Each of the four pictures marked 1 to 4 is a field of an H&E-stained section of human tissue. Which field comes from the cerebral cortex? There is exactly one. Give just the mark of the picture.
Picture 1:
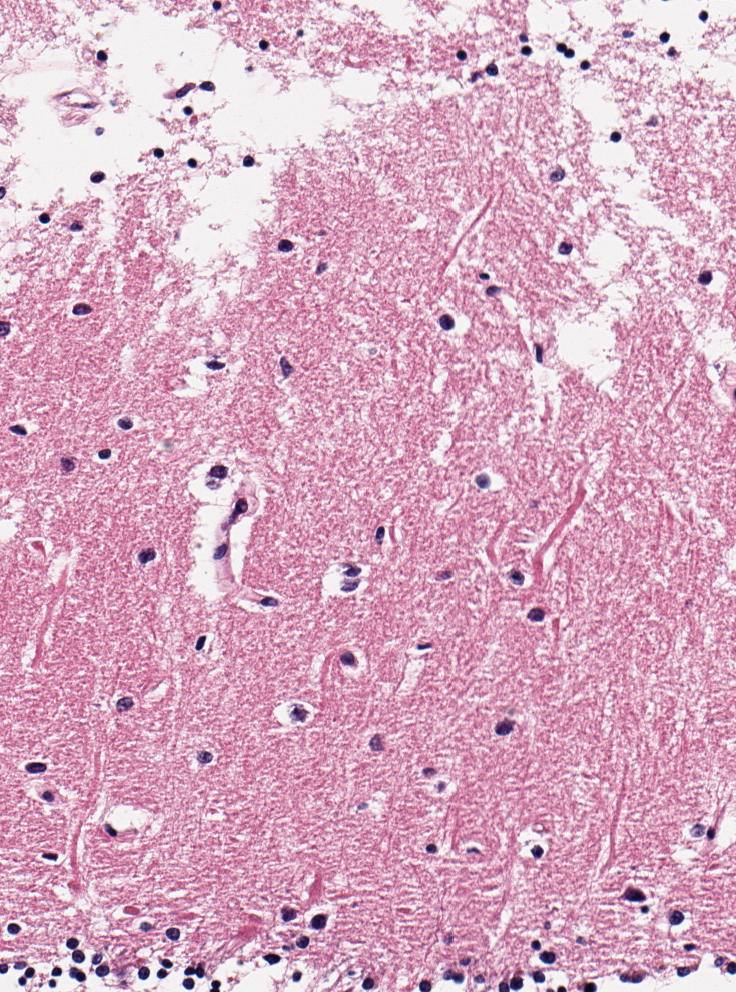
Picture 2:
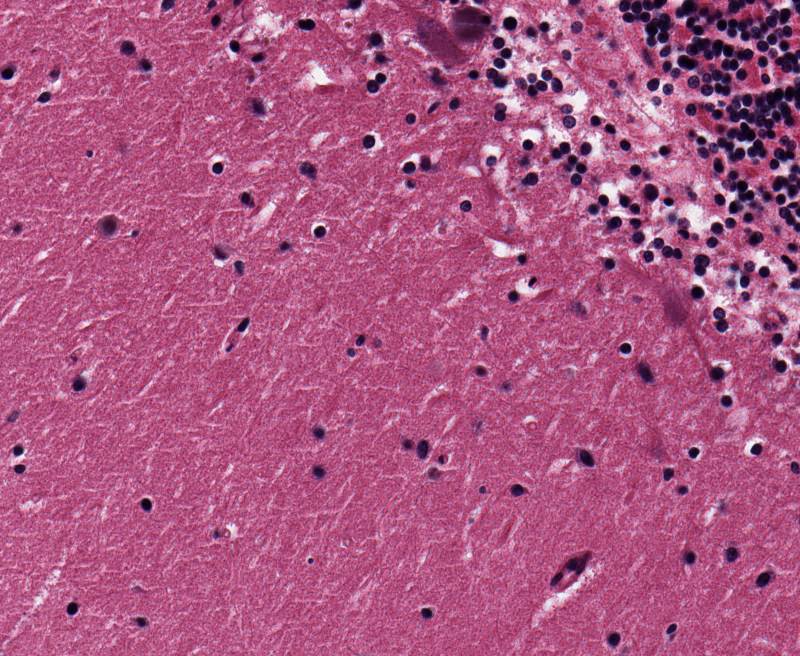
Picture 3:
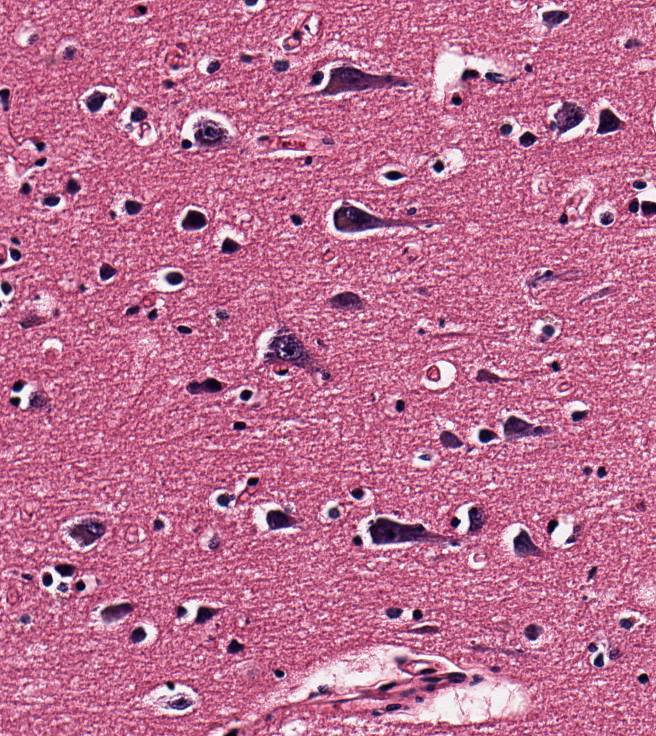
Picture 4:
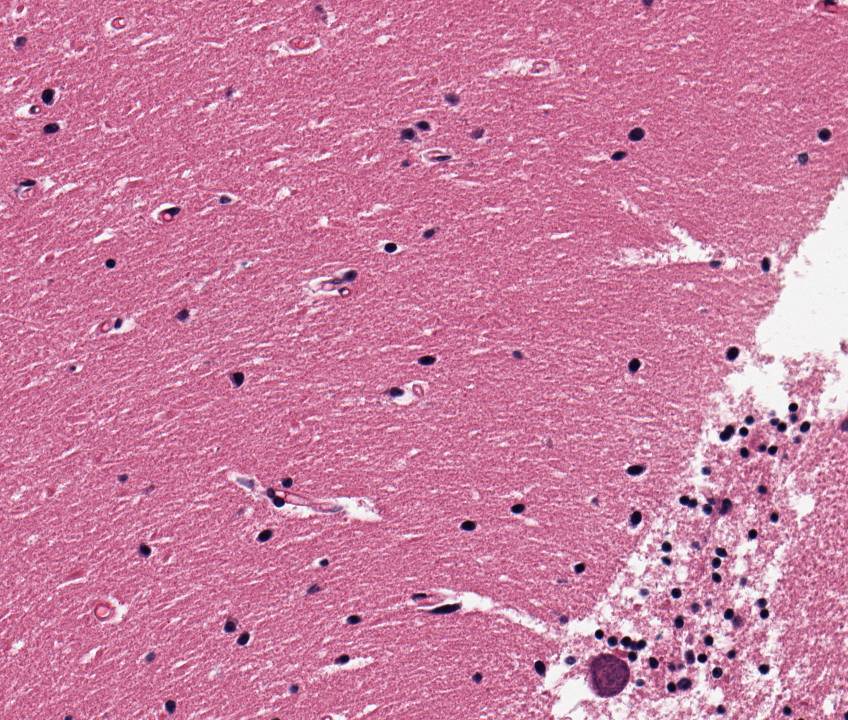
3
